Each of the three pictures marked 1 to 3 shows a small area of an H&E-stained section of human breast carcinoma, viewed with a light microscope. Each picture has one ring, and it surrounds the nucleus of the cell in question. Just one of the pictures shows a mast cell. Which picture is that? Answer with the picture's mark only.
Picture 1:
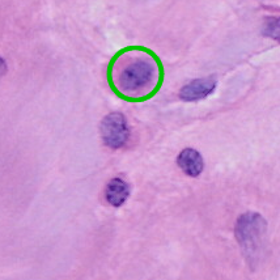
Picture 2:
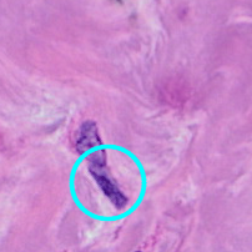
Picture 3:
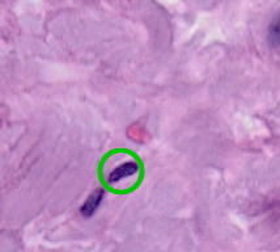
1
